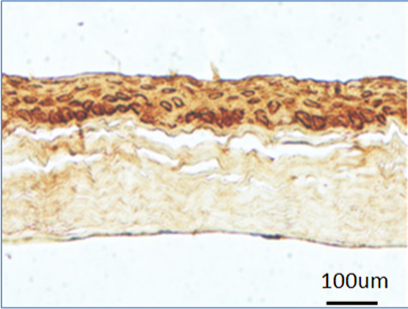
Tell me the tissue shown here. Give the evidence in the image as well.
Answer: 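A layered epithelium of several cell layers lies on top. Below it lies a thicker, pale, fibrous layer of wavy parallel lamellae with few cells. No blood vessels are visible in the fibrous layer. The answer: cornea.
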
